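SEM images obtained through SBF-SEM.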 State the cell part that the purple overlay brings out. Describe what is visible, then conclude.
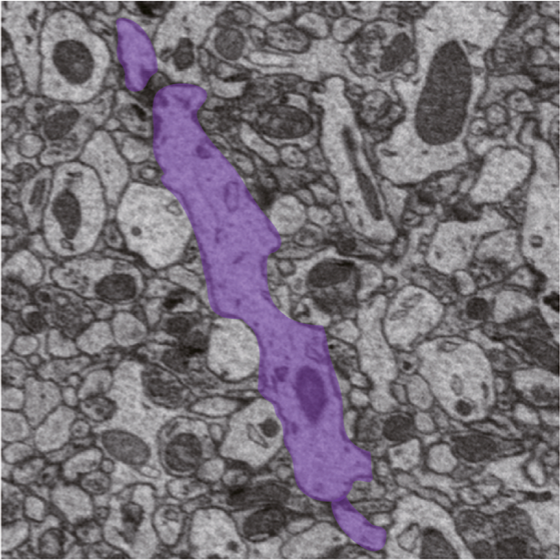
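Dendritic shaft. The purple profile is an elongated process running diagonally through densely packed neuropil. It contains a small oval mitochondrion in its lower part. It is wider than most surrounding small round profiles.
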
